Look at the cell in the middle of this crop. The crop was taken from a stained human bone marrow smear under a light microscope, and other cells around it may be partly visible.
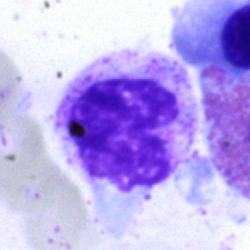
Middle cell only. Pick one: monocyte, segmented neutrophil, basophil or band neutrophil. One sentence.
The cell occupying the middle of the crop is a band neutrophil.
